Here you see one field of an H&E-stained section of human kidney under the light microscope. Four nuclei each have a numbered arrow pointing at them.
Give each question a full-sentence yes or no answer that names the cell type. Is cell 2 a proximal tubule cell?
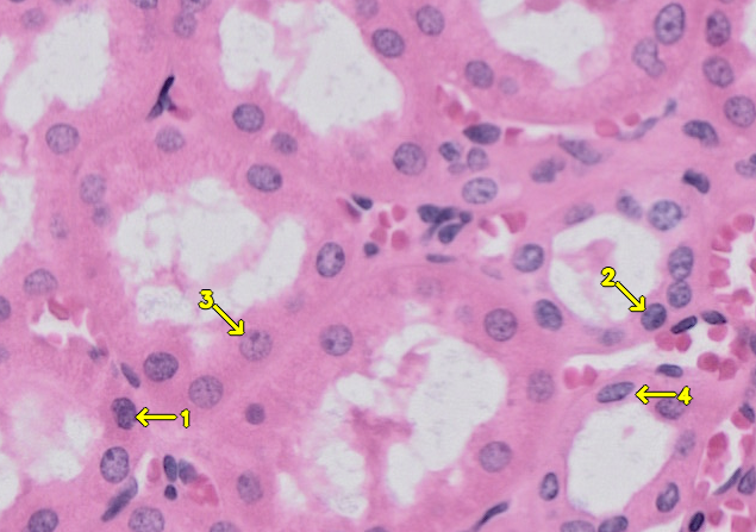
No, cell 2 counts as a collecting duct cell rather than as a proximal tubule cell.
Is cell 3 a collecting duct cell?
No, cell 3 is not a collecting duct cell; a proximal tubule cell is correct.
